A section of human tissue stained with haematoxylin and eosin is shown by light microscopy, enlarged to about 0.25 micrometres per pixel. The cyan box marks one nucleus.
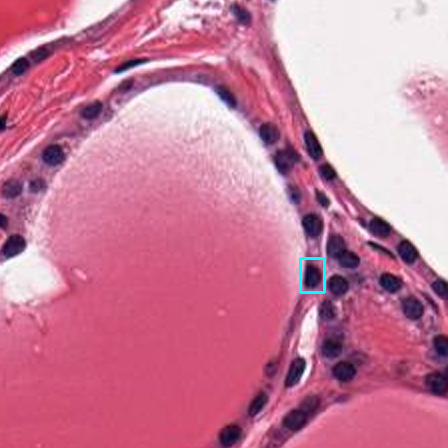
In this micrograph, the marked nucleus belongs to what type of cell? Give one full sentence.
The marked nucleus is recognized as the nucleus of a thyroid follicular cell.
